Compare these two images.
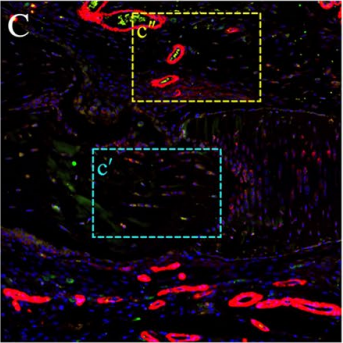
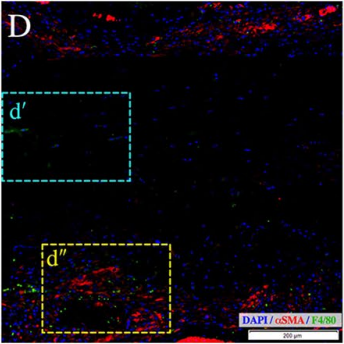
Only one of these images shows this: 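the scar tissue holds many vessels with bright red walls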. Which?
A: The first image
